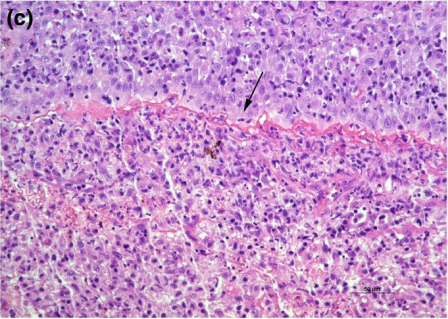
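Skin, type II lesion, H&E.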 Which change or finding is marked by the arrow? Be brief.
thickening of the basement membrane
